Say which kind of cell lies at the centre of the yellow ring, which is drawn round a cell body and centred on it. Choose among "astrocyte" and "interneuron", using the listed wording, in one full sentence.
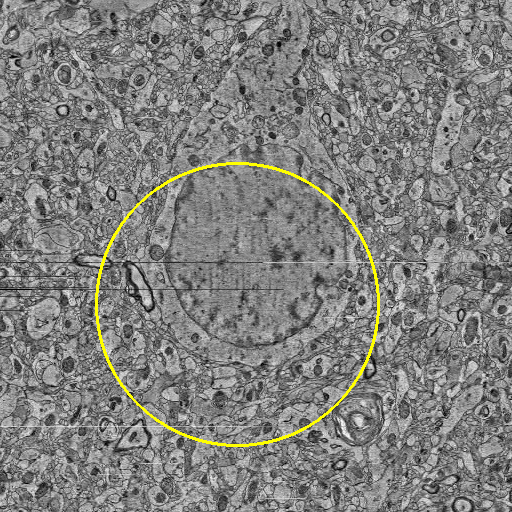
Going by the list, the cell at the yellow ring's centre is an interneuron.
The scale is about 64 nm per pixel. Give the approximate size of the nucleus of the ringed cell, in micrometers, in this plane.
The nucleus measures about 14 by 12 micrometres in this plane.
